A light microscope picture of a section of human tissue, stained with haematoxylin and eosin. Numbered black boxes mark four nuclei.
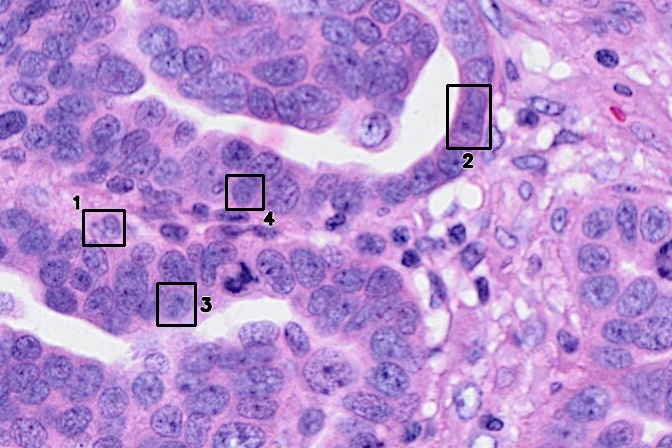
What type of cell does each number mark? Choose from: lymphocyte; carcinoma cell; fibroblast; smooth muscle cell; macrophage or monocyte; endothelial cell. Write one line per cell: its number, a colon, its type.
1: macrophage or monocyte
2: carcinoma cell
3: carcinoma cell
4: carcinoma cell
